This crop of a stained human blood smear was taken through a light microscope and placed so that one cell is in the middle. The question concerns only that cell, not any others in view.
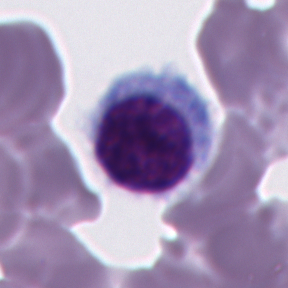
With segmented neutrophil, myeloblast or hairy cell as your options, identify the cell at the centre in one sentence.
For this crop, the cell in the middle is a hairy cell.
